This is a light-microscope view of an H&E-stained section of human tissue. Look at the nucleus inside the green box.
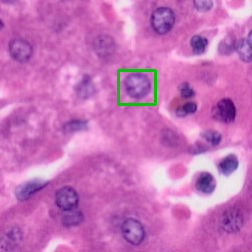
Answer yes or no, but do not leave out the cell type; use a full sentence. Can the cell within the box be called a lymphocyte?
No, it is as a hepatocyte, not a lymphocyte, that the cell within the box is classified.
